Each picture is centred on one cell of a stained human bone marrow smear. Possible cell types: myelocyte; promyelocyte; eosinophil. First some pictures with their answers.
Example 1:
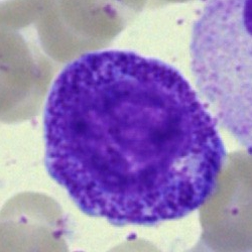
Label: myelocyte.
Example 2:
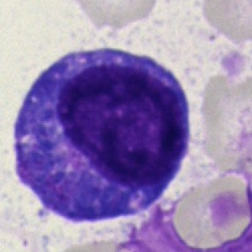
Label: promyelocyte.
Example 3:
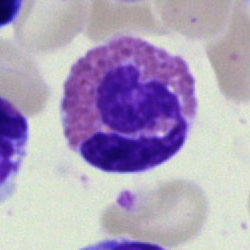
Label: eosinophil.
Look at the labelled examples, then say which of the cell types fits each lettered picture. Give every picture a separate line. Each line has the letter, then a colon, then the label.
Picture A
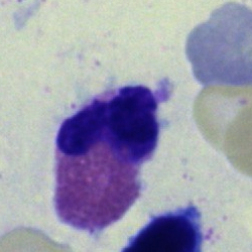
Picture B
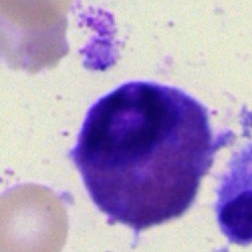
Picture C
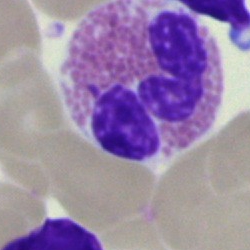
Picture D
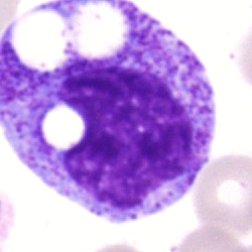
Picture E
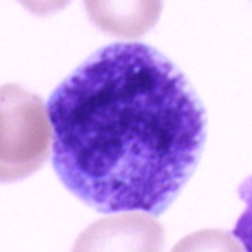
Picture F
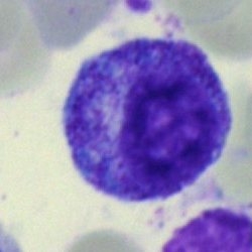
A: eosinophil.
B: eosinophil.
C: eosinophil.
D: promyelocyte.
E: promyelocyte.
F: promyelocyte.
